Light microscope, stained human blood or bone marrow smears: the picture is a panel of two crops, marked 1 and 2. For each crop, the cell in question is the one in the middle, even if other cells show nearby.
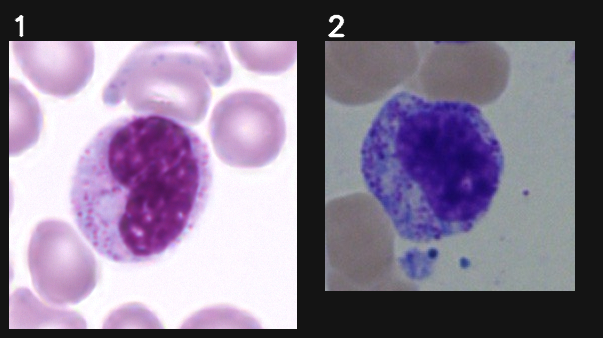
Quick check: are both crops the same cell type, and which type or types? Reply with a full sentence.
No, a metamyelocyte lies at the centre of crop 1, and a myelocyte lies at the centre of crop 2.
